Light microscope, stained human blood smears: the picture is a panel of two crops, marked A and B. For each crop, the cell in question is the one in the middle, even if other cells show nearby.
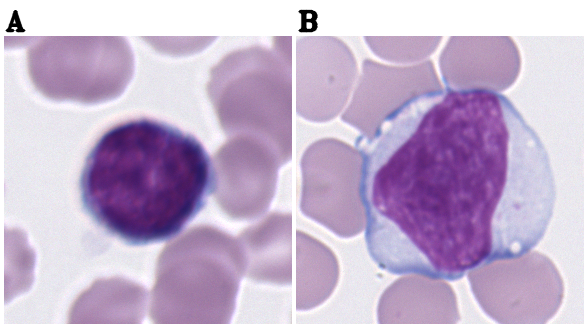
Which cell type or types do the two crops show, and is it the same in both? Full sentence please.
No, the correct reading is a typical lymphocyte in crop A and a myeloblast in crop B.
